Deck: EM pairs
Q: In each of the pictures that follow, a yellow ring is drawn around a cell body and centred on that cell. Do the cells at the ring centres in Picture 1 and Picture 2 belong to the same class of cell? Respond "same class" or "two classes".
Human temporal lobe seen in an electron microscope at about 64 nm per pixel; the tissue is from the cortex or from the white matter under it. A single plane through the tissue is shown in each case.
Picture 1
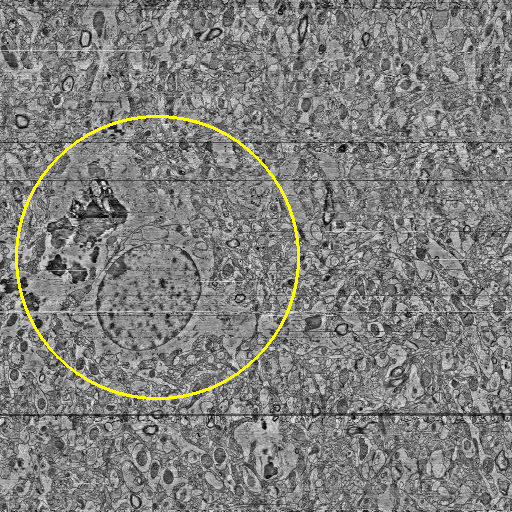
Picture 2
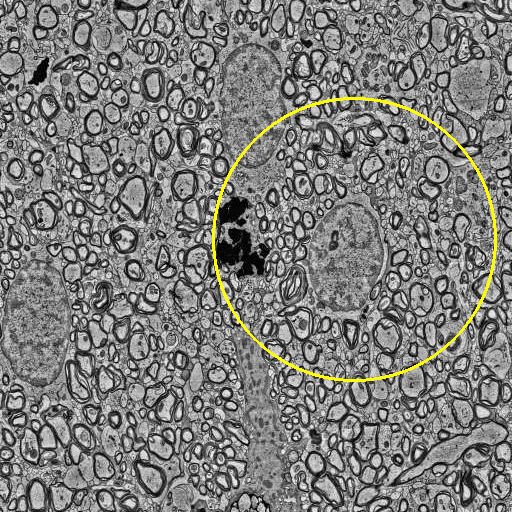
two classes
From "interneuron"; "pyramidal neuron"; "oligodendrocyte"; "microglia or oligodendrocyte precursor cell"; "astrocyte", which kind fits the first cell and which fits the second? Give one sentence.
The cell marked in the first picture is an astrocyte, and the one marked in the second is an oligodendrocyte.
